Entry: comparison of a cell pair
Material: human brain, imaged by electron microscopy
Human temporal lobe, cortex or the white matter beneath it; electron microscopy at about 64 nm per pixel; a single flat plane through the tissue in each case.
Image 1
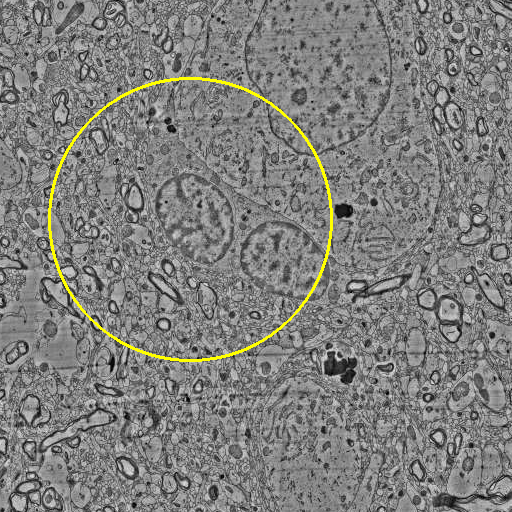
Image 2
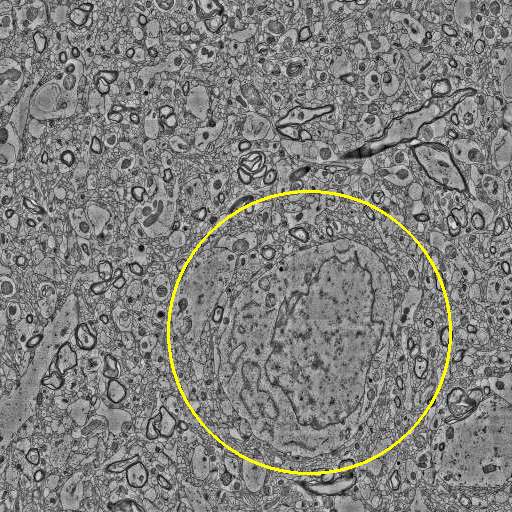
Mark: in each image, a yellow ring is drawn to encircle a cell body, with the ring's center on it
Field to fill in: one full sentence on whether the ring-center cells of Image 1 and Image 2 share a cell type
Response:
No, Image 1 and Image 2 show ring-center cells of two separate types.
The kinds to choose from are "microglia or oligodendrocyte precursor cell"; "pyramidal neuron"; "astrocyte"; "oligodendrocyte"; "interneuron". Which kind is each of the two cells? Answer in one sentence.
Of the two, the first cell is a microglial cell or oligodendrocyte precursor cell and the second cell is a pyramidal neuron.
